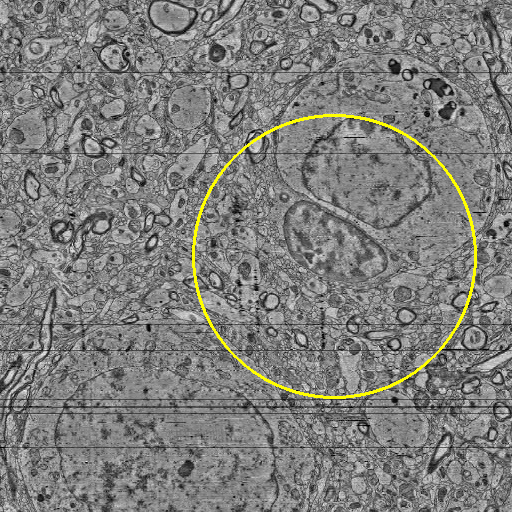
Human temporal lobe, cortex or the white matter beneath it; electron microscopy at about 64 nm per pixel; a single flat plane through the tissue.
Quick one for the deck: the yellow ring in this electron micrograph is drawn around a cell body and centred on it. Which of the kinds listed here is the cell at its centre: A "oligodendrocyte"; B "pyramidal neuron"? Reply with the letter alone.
A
